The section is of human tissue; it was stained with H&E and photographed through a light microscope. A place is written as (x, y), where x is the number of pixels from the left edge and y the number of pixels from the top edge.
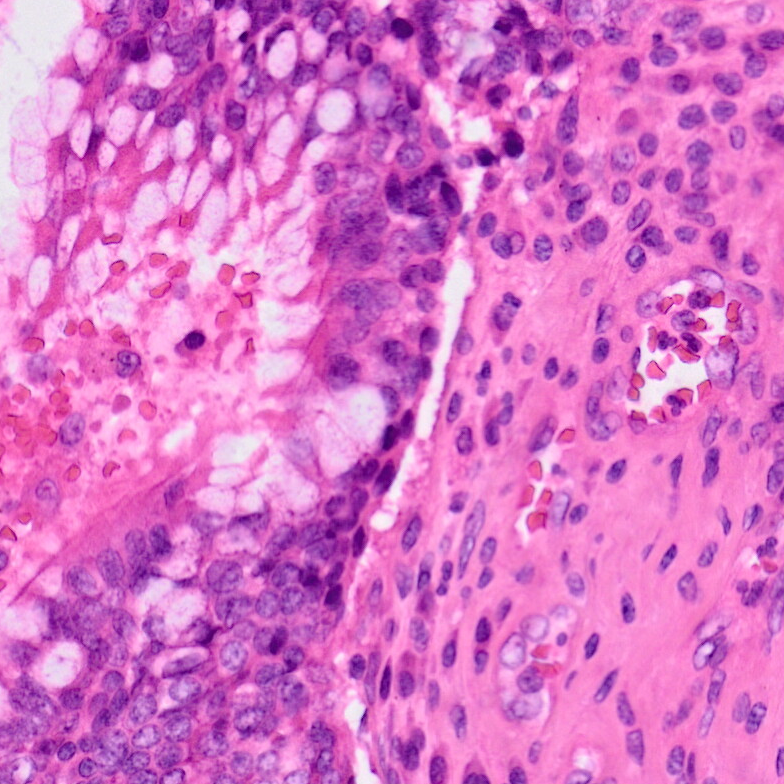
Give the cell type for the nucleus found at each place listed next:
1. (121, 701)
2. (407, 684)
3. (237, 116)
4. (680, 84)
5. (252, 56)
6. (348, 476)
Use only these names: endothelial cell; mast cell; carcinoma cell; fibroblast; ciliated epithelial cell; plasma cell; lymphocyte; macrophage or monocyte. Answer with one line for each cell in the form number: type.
1: ciliated epithelial cell
2: plasma cell
3: ciliated epithelial cell
4: plasma cell
5: ciliated epithelial cell
6: ciliated epithelial cell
